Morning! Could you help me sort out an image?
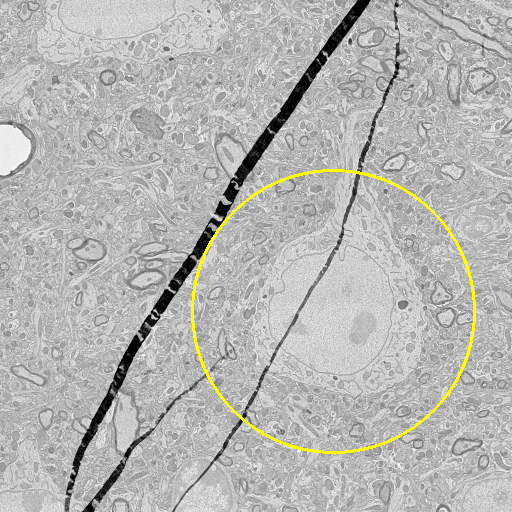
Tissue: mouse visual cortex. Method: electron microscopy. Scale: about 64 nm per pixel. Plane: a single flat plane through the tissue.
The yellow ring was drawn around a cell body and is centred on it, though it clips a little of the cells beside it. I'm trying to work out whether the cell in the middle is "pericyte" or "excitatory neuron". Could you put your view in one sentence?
The ringed cell body is that of an excitatory neuron.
